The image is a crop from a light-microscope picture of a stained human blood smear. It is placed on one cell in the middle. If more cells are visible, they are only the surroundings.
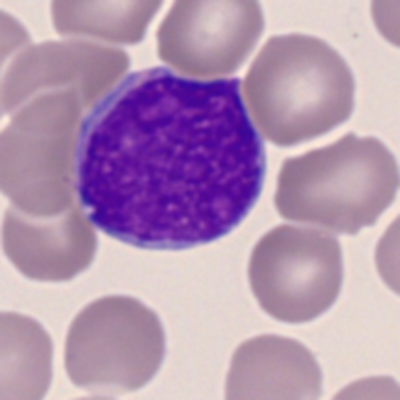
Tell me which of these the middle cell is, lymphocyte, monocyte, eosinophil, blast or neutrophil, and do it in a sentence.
The central cell in this smear crop is a blast.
